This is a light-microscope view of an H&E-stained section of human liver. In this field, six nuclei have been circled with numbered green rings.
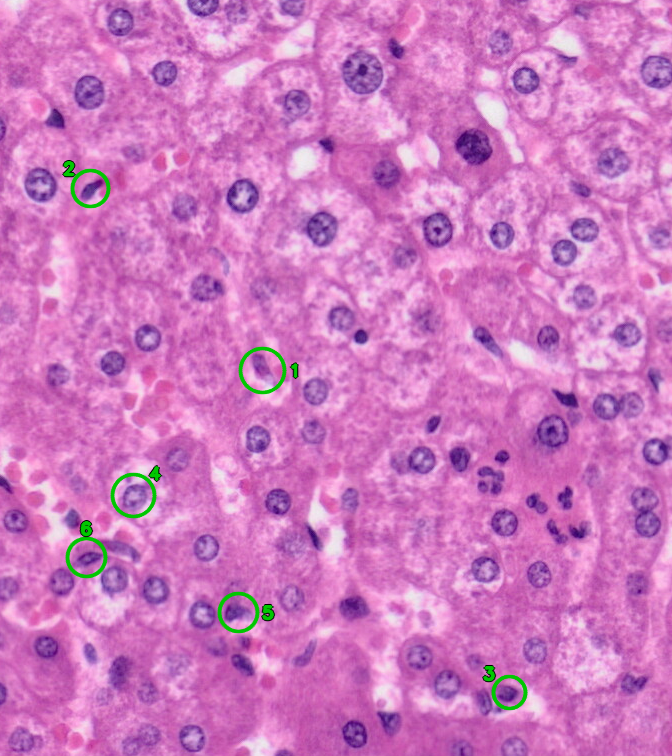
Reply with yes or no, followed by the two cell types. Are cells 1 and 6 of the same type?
No, that's wrong; cell 1 is a Kupffer cell and cell 6 is a fibroblast or stellate cell.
